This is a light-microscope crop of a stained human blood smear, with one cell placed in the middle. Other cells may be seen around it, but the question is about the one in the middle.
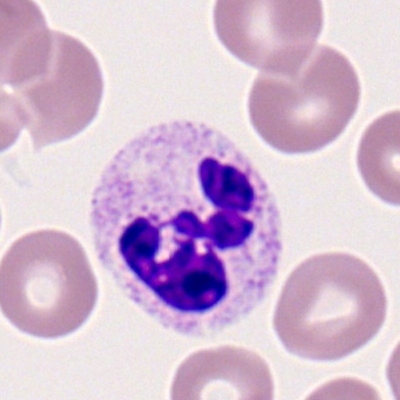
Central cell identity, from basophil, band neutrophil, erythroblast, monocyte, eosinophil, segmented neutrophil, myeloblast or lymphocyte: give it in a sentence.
The cell at the middle of the frame should be recorded as a segmented neutrophil.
